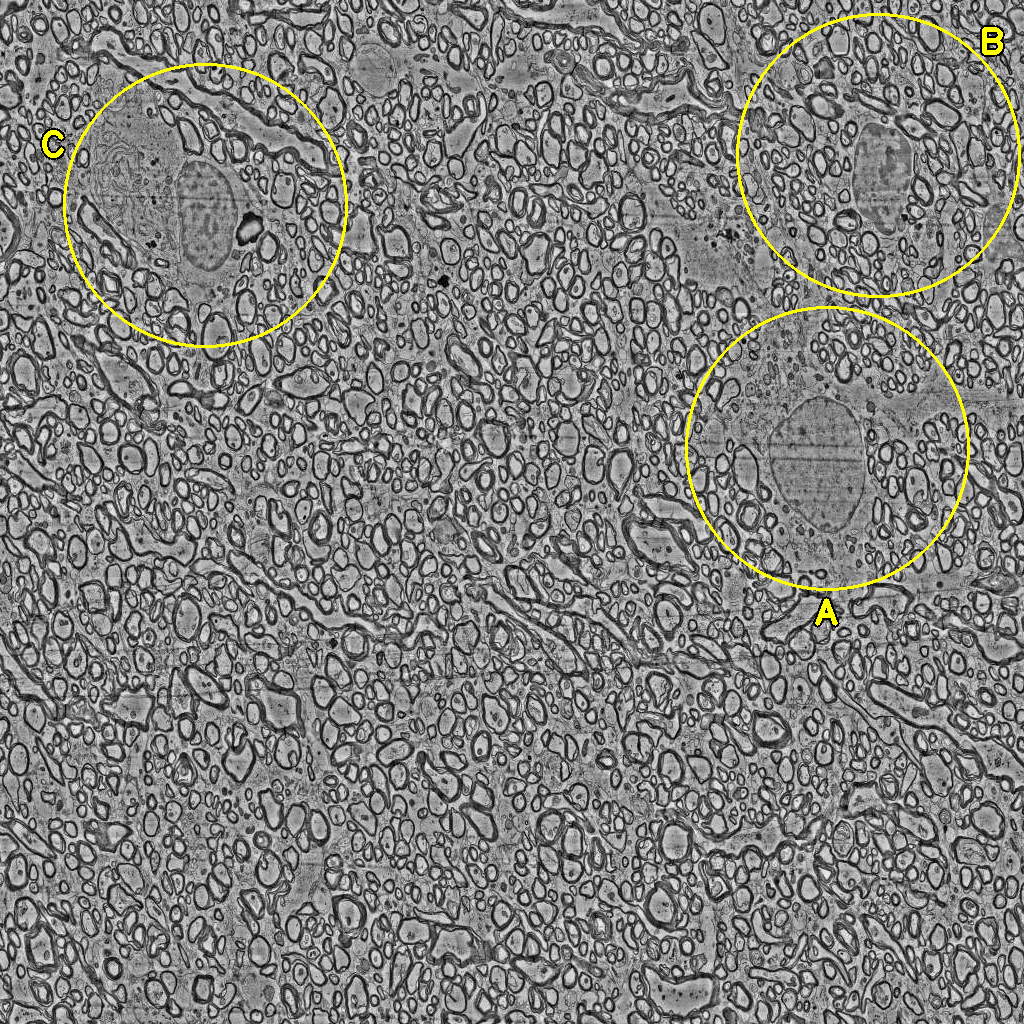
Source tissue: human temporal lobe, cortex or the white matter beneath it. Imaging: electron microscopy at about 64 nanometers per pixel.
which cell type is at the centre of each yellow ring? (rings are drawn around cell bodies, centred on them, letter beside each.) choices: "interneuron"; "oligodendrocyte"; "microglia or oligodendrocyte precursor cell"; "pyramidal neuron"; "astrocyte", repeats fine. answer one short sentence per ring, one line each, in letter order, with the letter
Ring A is an astrocyte.
Ring B is a microglial cell or oligodendrocyte precursor cell.
Ring C is an oligodendrocyte.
